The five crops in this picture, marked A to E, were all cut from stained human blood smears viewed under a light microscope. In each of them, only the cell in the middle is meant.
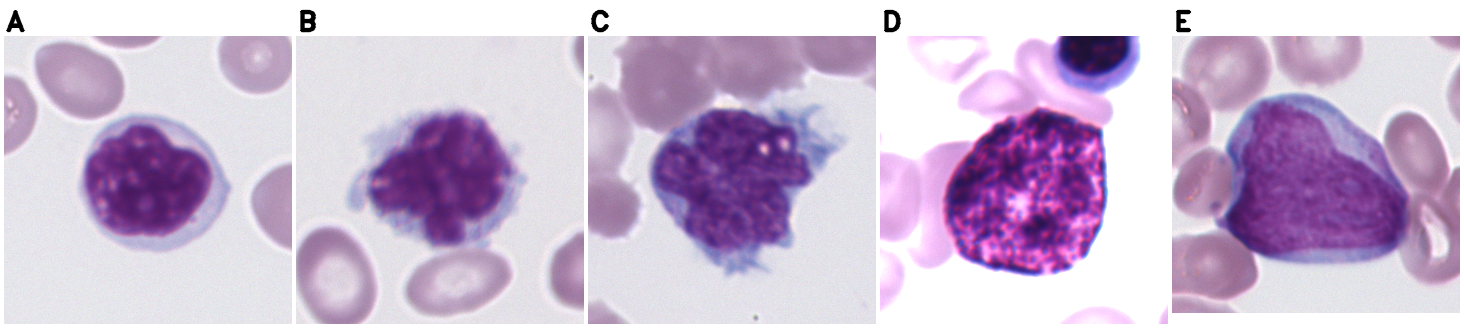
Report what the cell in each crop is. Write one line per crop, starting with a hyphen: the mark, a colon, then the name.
- A: typical lymphocyte
- B: large granular lymphocyte
- C: monocyte
- D: basophil
- E: atypical promyelocyte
